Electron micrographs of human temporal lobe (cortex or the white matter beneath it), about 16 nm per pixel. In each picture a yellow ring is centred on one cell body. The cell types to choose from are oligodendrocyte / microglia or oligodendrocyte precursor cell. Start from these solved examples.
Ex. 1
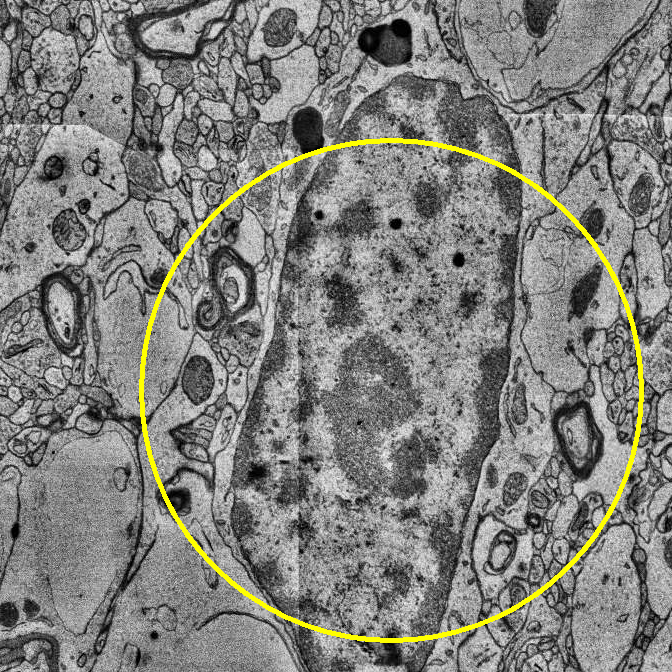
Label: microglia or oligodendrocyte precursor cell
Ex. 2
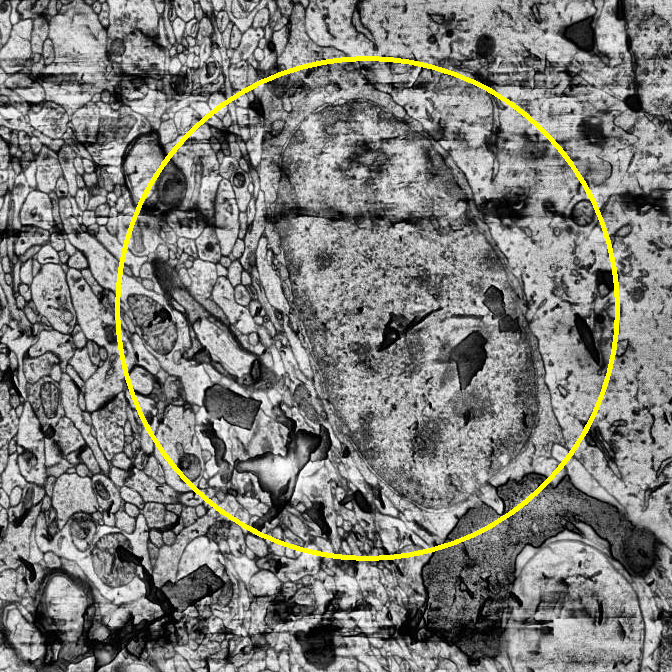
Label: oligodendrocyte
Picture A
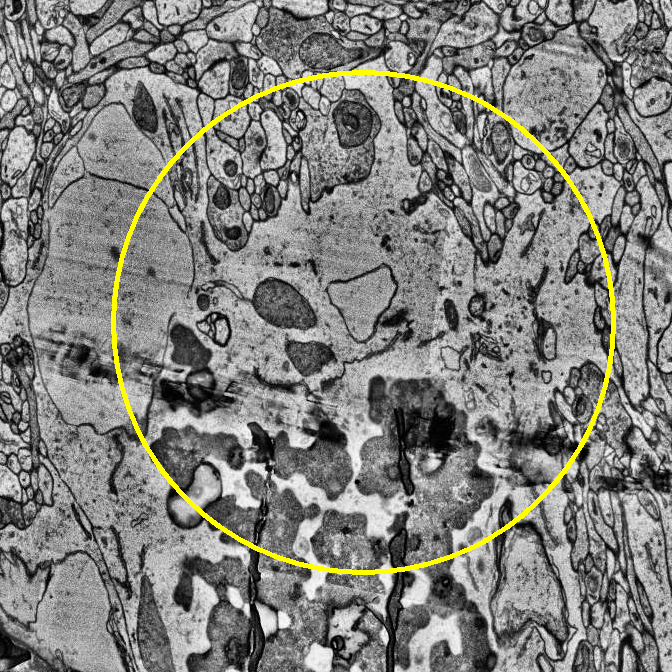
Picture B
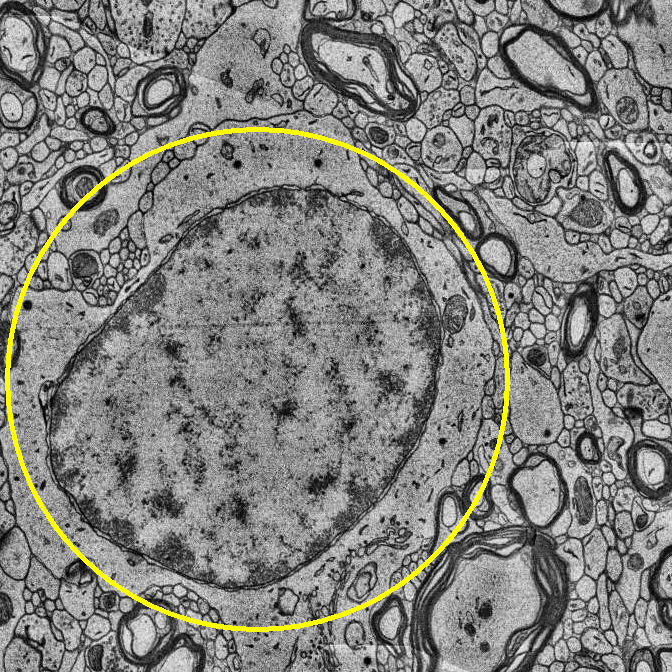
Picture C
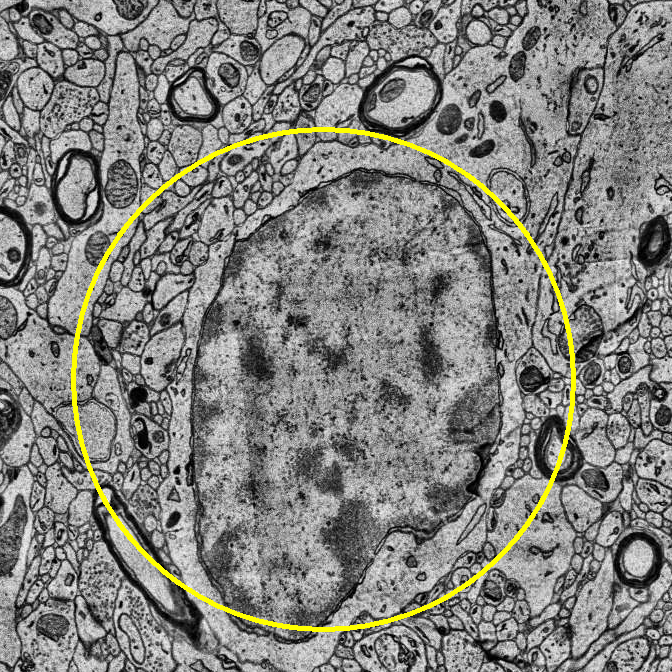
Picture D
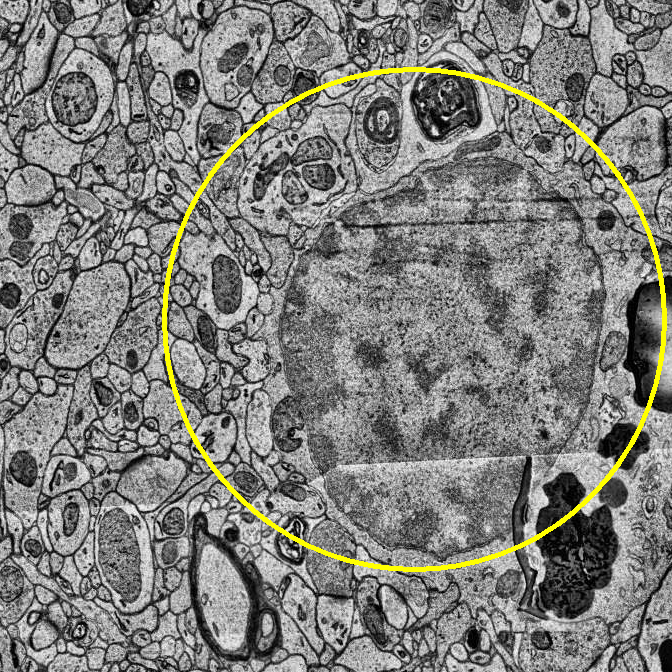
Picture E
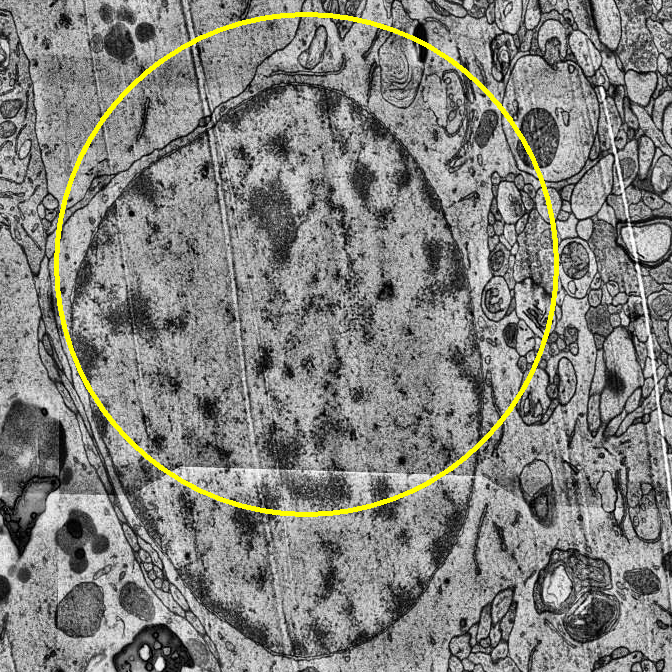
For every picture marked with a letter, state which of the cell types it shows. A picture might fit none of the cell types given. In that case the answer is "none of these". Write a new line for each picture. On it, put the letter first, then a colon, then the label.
A: none of these
B: microglia or oligodendrocyte precursor cell
C: microglia or oligodendrocyte precursor cell
D: oligodendrocyte
E: none of these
